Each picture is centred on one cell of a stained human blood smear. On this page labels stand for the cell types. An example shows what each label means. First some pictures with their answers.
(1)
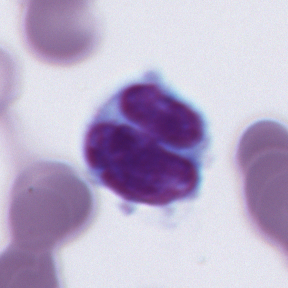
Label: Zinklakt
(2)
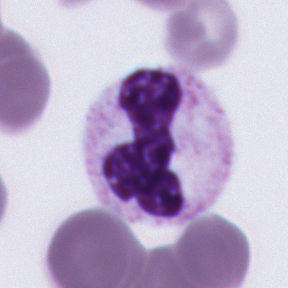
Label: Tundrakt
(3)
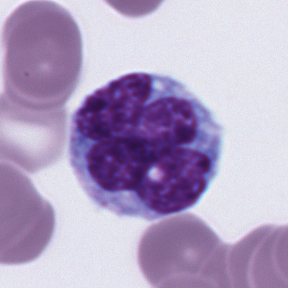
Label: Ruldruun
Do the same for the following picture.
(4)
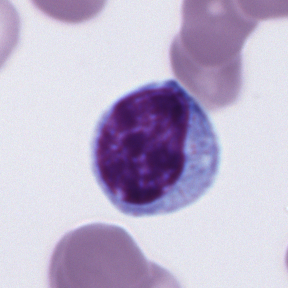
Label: Zinklakt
